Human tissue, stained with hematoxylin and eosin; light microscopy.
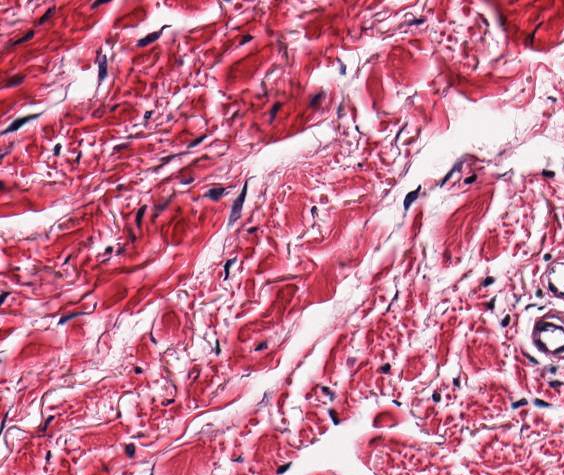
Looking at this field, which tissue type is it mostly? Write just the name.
dermis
